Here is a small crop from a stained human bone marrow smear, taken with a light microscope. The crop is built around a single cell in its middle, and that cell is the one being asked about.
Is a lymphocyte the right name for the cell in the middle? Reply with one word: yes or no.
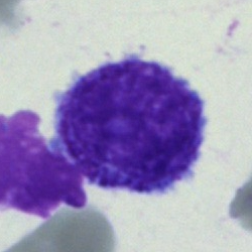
no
